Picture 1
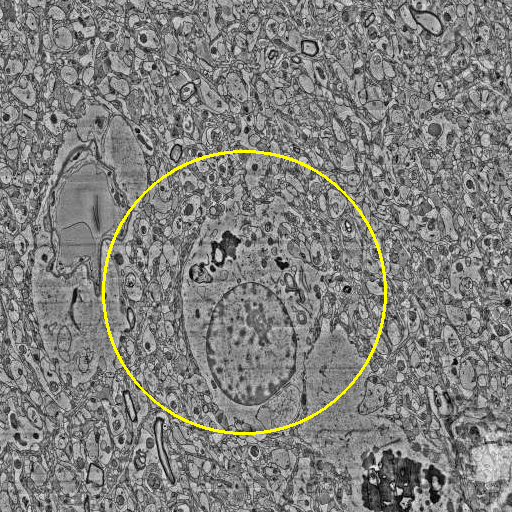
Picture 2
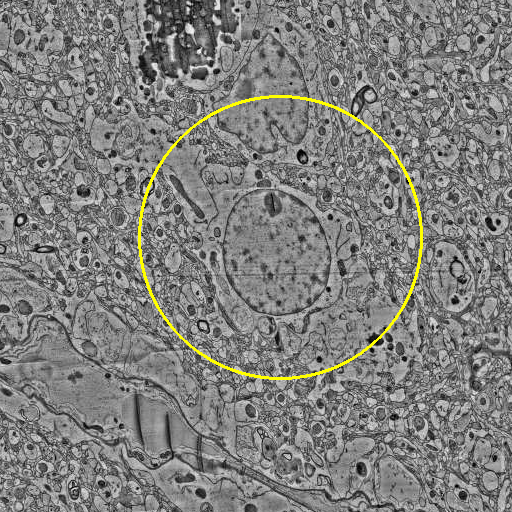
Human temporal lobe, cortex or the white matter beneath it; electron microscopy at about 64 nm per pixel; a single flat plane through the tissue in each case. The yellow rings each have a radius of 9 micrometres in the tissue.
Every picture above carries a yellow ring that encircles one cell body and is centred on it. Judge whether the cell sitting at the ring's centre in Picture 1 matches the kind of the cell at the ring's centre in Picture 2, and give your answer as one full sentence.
Yes, the cells centred in the rings of Pictures 1 and 2 belong to one kind.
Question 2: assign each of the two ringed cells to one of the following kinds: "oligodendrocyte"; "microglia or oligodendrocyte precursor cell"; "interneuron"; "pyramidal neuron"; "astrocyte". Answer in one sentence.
Both rings mark an astrocyte, one in each picture.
